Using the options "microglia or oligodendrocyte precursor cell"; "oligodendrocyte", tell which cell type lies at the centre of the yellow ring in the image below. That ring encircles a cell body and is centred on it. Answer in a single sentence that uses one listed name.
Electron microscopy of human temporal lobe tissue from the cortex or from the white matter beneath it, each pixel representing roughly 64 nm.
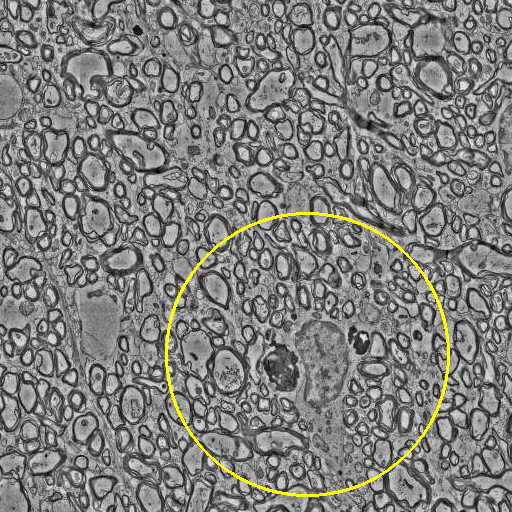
At the centre of the yellow ring lies the body of an oligodendrocyte.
